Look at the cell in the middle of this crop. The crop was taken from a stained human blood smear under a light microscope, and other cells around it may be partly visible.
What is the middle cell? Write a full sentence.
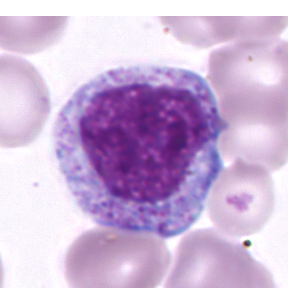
The cell that lies at the centre of the crop is a promyelocyte.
